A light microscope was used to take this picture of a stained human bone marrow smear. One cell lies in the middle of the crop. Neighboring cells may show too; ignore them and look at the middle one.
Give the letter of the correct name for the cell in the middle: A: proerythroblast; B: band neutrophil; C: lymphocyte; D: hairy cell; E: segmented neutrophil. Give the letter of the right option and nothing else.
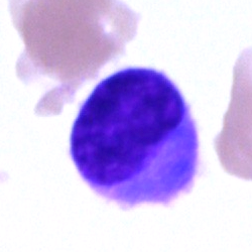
D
